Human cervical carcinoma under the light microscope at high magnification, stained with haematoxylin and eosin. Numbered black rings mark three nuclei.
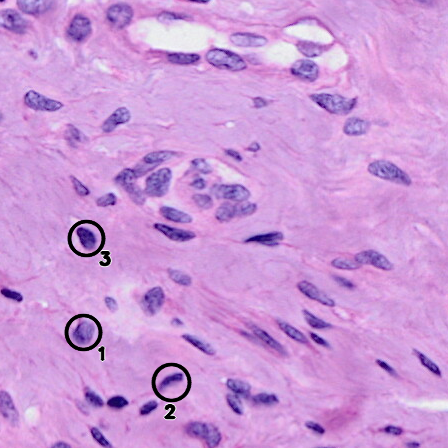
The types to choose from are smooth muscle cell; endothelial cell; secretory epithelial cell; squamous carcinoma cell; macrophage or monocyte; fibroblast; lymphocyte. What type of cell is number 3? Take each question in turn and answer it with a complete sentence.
The nucleus labelled 3 belongs to a lymphocyte.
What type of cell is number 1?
The cell that is numbered 1 is a fibroblast.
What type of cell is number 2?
Among the marked nuclei, number 2 belongs to a fibroblast.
